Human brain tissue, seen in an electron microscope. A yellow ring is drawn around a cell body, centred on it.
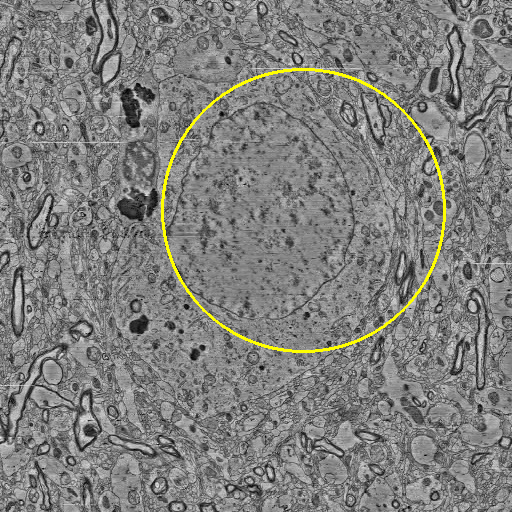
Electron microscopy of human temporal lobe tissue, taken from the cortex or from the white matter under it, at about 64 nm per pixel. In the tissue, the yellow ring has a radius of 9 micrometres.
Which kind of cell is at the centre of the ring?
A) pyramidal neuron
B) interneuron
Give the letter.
A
